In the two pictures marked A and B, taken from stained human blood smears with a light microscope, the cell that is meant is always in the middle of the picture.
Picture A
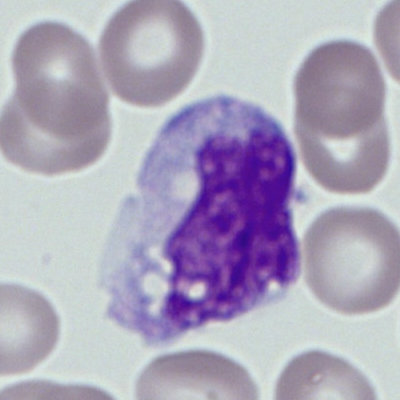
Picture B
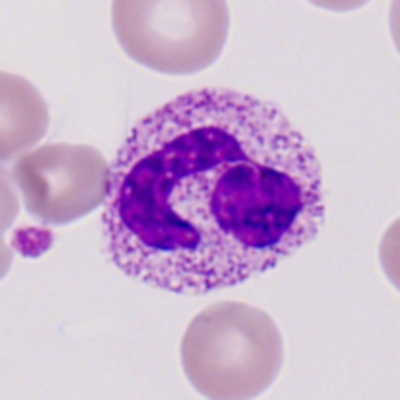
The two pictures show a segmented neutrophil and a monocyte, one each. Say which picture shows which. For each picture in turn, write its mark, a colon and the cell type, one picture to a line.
A: monocyte
B: segmented neutrophil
